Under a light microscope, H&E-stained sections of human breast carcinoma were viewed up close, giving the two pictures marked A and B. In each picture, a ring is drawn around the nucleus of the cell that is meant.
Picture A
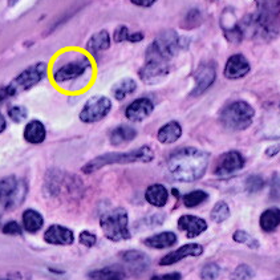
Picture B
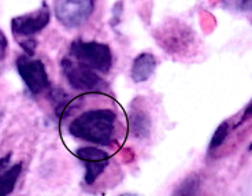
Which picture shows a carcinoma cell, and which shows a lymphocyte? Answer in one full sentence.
The cell in picture A is a lymphocyte, and the one in picture B is a carcinoma cell.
